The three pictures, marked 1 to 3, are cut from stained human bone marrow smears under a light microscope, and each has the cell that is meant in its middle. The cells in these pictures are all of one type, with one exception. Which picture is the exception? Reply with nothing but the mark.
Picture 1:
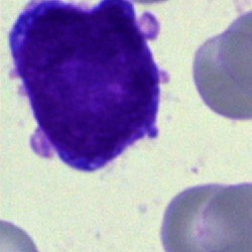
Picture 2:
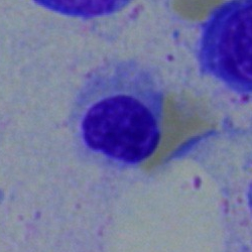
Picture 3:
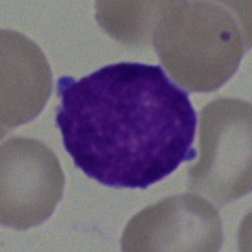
2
